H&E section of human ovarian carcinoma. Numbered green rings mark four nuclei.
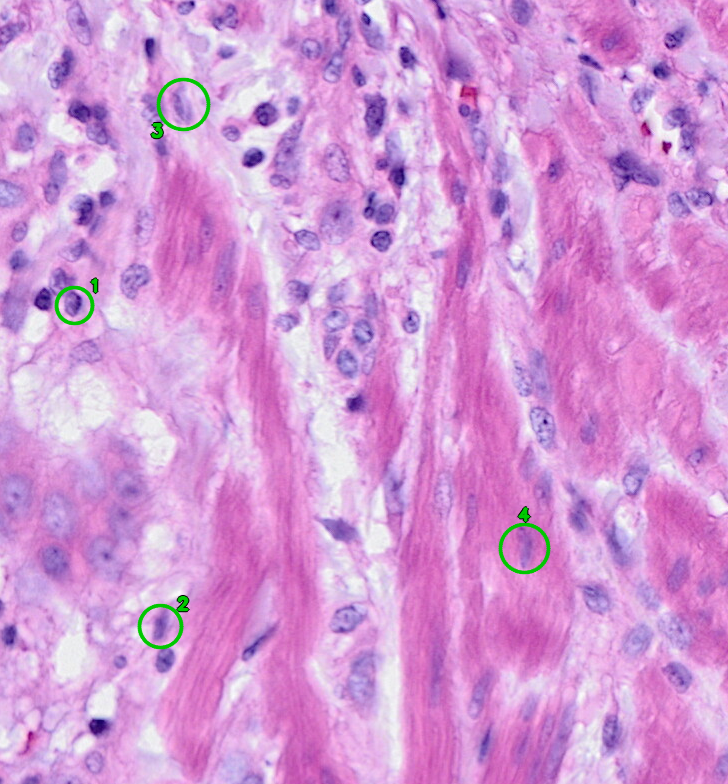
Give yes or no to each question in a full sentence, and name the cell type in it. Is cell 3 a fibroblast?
Yes, the cell that number 3 points to is a fibroblast.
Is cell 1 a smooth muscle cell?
No, the cell bearing number 1 is not a smooth muscle cell but a lymphocyte.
